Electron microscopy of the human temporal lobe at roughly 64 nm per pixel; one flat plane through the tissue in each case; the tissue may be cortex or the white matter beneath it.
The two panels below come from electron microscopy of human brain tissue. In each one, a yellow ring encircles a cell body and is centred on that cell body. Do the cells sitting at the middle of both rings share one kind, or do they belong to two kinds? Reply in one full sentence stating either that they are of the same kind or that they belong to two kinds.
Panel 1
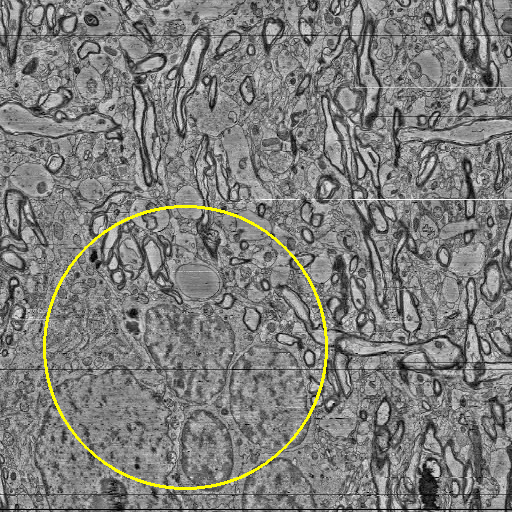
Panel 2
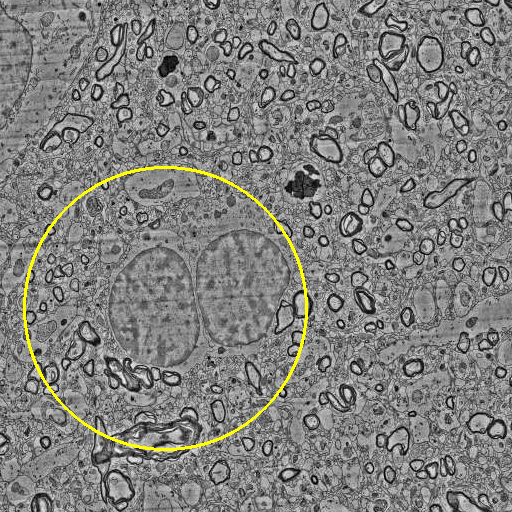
The cells at the centres of the two rings are of the same kind.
